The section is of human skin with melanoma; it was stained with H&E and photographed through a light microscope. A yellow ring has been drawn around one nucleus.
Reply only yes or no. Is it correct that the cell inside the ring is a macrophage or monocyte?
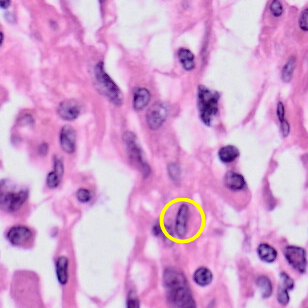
yes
